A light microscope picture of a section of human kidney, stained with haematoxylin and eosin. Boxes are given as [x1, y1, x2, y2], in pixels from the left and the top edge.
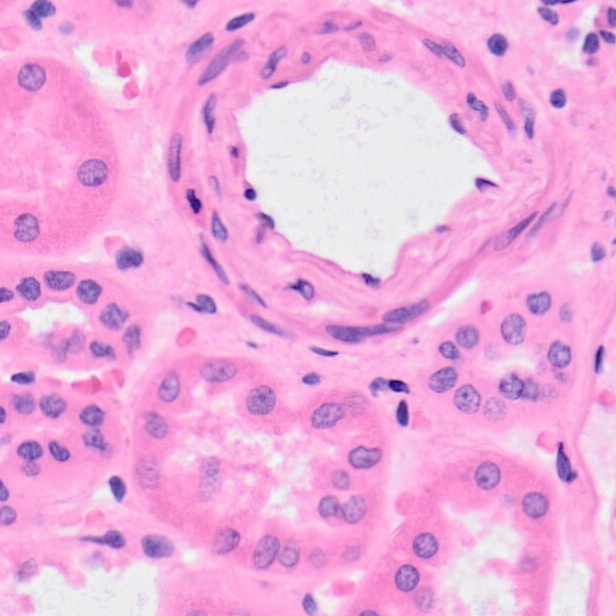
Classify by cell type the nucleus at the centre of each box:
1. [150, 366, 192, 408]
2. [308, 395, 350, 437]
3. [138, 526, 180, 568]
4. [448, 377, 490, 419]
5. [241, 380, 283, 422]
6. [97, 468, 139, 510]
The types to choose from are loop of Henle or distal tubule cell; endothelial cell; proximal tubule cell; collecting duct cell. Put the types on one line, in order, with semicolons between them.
proximal tubule cell; proximal tubule cell; endothelial cell; collecting duct cell; proximal tubule cell; endothelial cell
